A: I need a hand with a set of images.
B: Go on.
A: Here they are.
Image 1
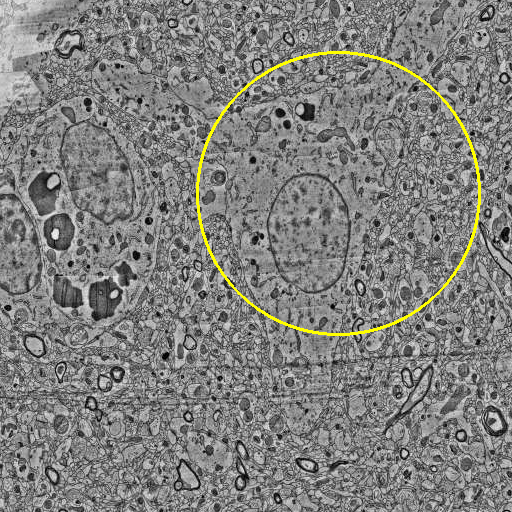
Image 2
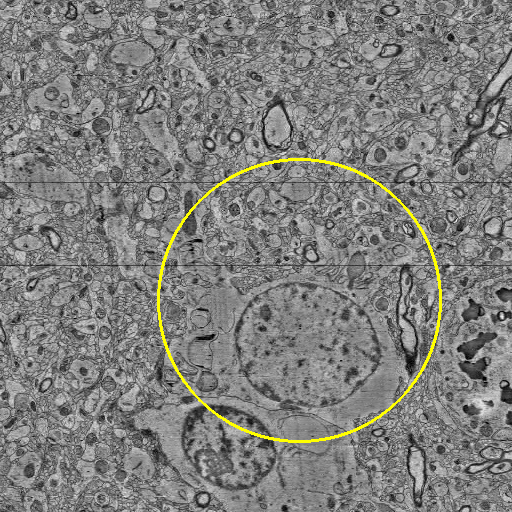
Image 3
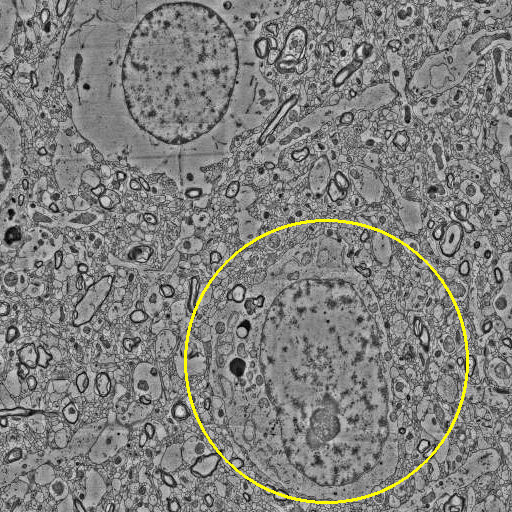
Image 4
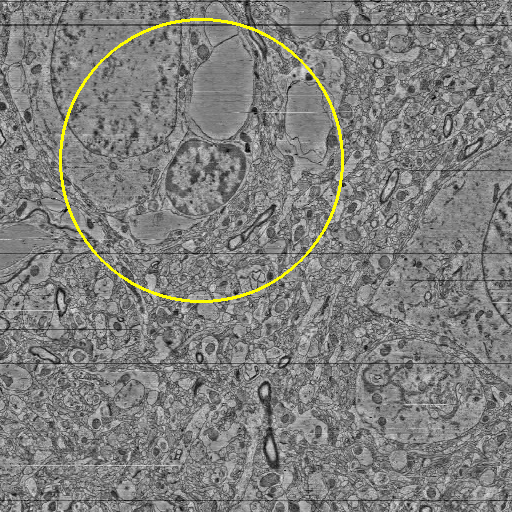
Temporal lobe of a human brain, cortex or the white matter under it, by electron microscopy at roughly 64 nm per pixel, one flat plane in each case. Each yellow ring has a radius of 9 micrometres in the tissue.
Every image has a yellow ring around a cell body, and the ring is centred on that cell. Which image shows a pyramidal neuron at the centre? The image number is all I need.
1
